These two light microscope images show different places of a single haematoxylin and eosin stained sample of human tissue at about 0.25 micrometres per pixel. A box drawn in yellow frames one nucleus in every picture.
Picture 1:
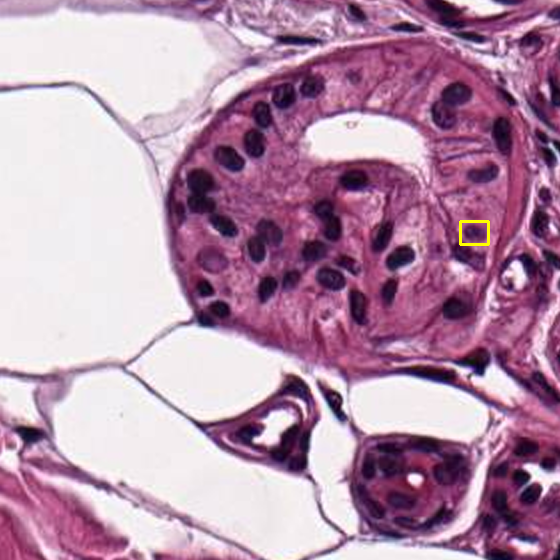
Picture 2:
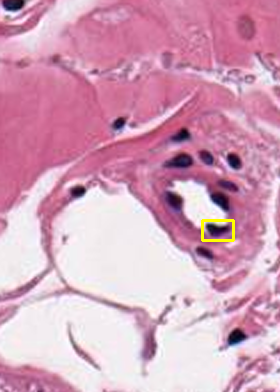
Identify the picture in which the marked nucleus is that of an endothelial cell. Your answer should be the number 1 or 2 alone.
2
